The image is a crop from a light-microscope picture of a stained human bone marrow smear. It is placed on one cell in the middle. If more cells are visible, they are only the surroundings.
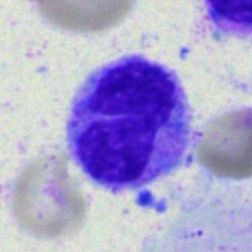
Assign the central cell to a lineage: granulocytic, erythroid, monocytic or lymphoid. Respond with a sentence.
The cell at the middle of this crop is assigned to the monocytic lineage.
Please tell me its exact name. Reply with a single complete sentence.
Present in the middle of the crop is a monocyte.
